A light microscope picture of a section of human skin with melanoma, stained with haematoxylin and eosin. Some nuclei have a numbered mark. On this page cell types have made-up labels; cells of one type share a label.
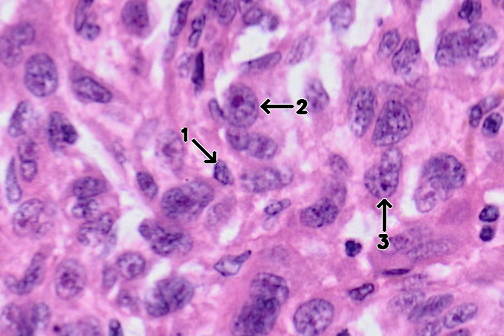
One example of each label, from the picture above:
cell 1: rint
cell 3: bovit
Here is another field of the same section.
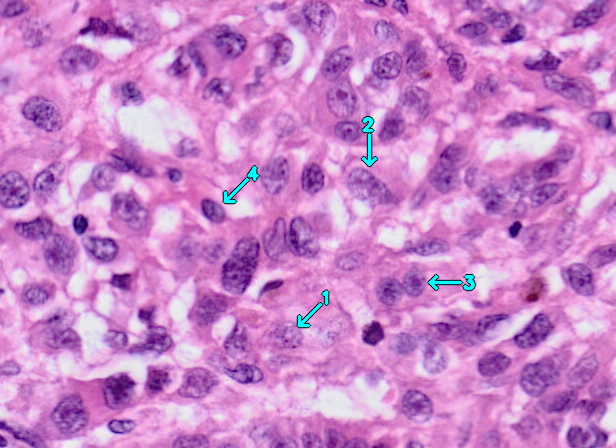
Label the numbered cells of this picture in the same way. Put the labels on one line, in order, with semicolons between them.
bovit; bovit; bovit; rint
